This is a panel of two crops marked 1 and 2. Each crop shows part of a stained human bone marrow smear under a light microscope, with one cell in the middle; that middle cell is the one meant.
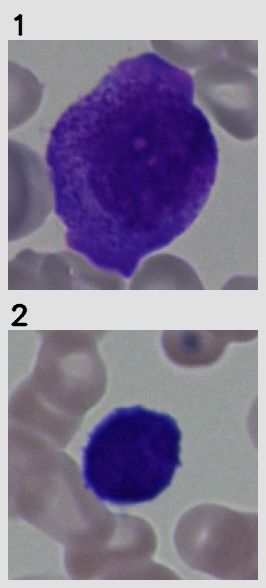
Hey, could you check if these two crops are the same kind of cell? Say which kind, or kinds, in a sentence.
No, crop 1 is where a blast is, and crop 2 is where a lymphocyte is.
